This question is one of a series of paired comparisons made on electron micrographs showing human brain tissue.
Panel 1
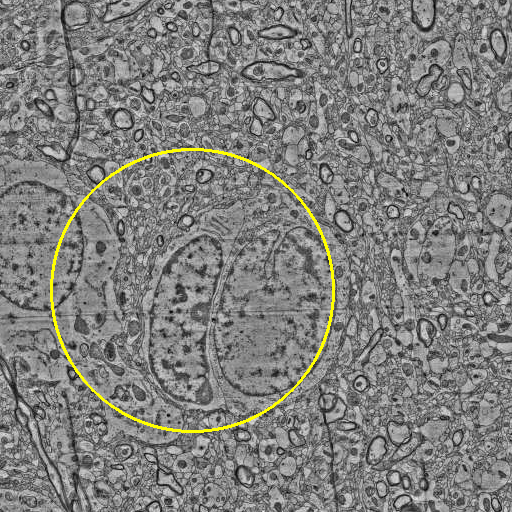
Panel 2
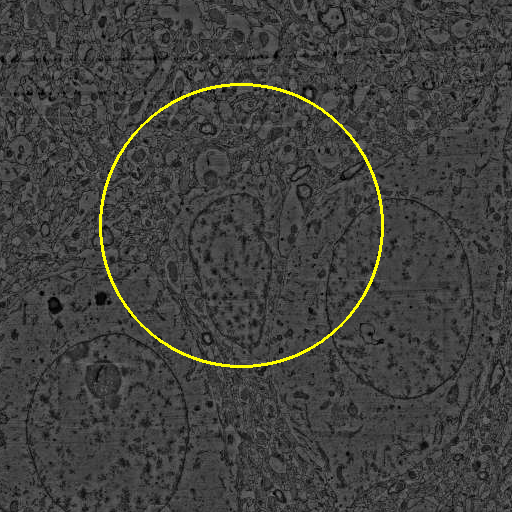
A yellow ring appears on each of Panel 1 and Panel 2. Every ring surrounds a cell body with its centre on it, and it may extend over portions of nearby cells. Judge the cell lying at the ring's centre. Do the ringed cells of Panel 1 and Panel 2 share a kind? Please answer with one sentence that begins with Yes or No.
No, the ring-centre cell in Panel 1 and the one in Panel 2 are of two kinds.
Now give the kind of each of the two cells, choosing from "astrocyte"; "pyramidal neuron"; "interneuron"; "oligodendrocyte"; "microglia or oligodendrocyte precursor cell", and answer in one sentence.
The cell in the first picture is a microglial cell or oligodendrocyte precursor cell, and the cell in the second is an interneuron.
